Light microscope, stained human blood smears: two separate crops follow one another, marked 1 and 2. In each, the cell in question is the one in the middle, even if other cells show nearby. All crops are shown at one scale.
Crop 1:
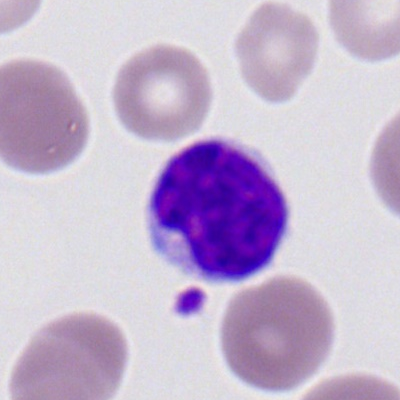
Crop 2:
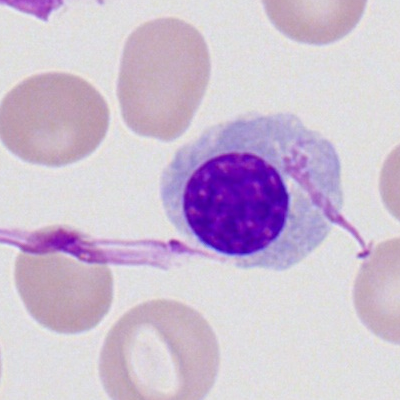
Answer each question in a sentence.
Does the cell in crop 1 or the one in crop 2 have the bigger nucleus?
It is the nucleus in crop 1, about 1.5 times as large in area as the one in crop 2.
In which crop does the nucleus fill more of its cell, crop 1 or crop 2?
The nucleus fills more of the cell in crop 1 than in crop 2.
